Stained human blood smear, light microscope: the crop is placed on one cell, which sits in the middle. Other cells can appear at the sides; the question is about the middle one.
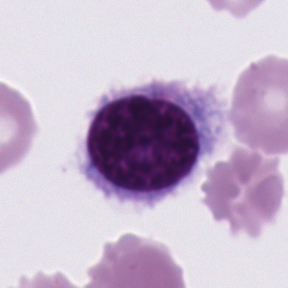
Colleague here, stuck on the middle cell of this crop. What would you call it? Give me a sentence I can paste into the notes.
The cell in the exact centre of the crop is a hairy cell.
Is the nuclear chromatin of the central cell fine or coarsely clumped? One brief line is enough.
Just so you know, its chromatin is coarsely clumped.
